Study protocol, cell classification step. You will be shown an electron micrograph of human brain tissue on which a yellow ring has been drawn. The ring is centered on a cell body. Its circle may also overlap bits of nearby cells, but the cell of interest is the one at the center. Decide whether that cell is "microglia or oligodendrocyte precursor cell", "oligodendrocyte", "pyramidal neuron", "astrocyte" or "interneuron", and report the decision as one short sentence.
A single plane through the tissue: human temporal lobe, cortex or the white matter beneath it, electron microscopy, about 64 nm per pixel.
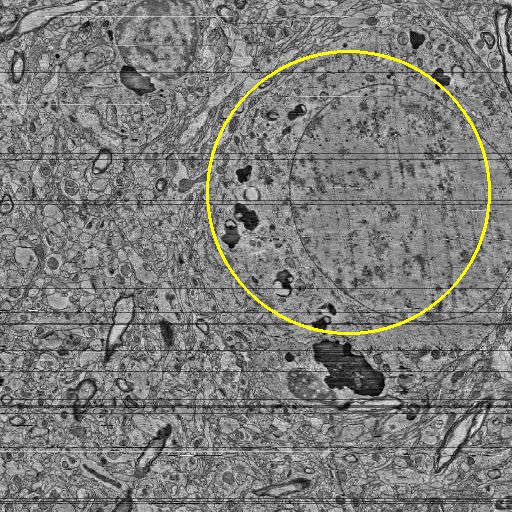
The marked cell is a pyramidal neuron.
